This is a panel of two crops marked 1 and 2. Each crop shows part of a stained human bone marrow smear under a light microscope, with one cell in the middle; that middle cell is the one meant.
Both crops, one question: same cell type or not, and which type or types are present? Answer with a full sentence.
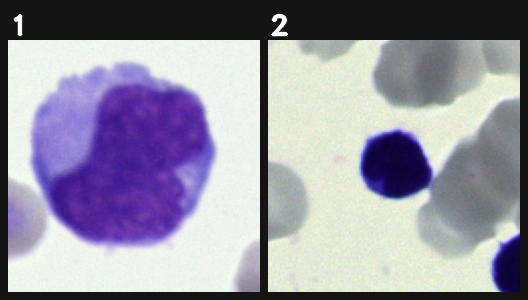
No, crop 1 presents a blast; crop 2 presents a lymphocyte.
